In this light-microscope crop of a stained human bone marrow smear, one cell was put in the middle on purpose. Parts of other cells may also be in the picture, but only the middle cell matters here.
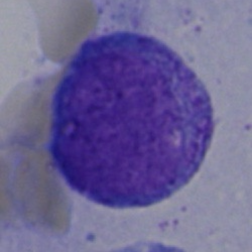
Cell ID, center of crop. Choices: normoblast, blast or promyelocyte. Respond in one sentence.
Here the centrally located cell is a promyelocyte.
